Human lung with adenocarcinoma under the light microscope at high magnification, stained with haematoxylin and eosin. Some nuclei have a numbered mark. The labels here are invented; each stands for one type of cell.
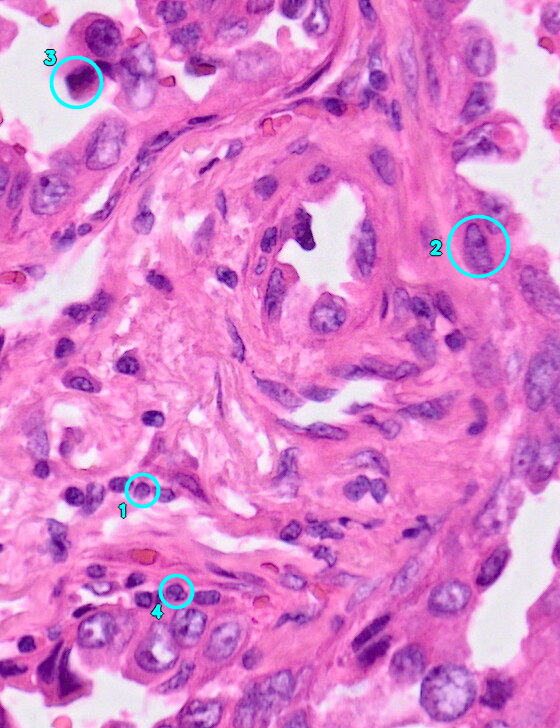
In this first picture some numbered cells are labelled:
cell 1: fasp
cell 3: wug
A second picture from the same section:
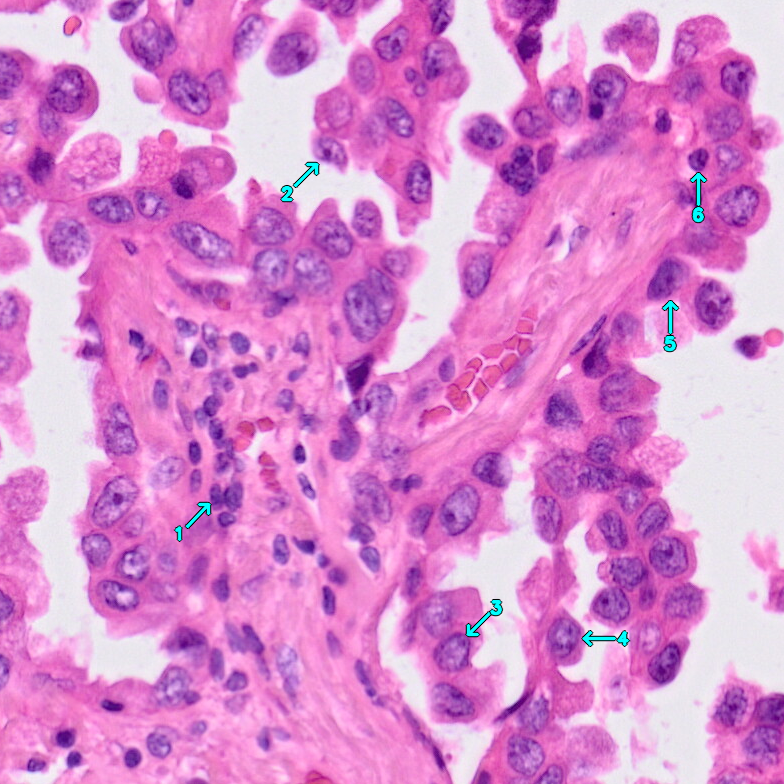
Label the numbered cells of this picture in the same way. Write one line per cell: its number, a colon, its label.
1: fasp
2: wug
3: wug
4: wug
5: wug
6: fasp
